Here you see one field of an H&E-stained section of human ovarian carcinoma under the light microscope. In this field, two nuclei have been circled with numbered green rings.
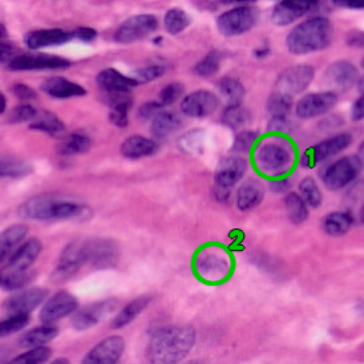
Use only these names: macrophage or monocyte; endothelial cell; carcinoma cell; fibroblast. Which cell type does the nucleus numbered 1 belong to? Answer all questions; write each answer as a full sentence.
The cell numbered 1 represents a carcinoma cell.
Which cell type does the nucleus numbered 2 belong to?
The cell given label 2 is a fibroblast.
